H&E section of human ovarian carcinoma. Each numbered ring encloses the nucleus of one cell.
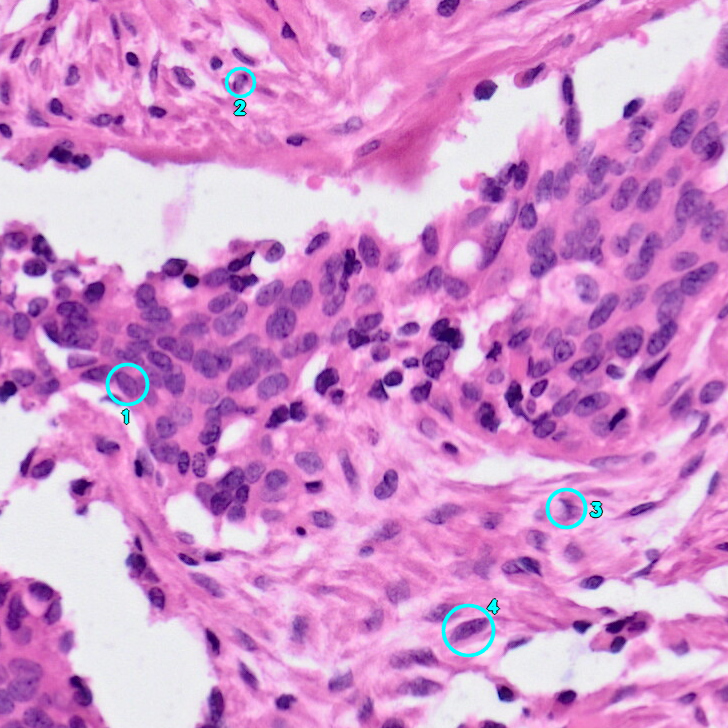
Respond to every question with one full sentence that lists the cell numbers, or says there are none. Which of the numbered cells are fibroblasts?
Cells 2, 3 and 4 share one type; they are fibroblasts.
